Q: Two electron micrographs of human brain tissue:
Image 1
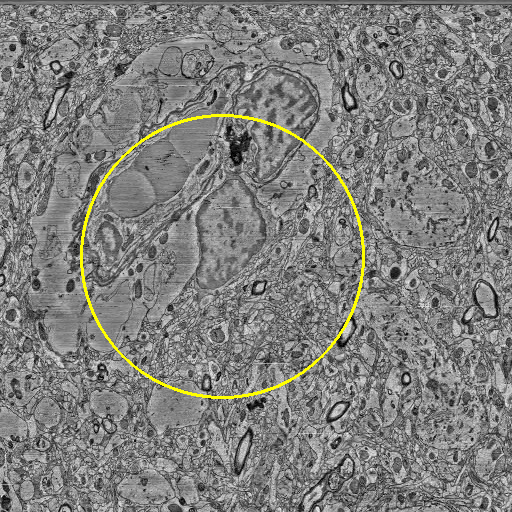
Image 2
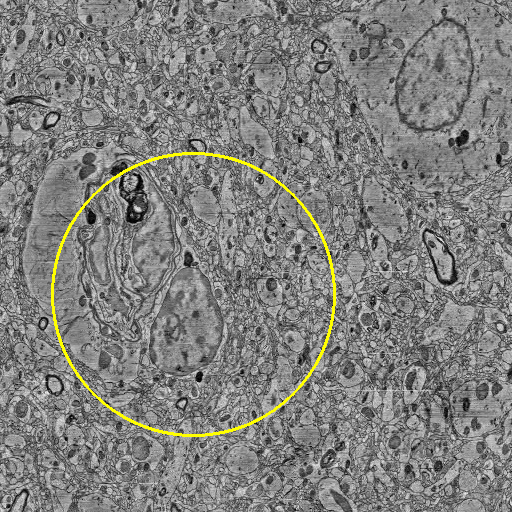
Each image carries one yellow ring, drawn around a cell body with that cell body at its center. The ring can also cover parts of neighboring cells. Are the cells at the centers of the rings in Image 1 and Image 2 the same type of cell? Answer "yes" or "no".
no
